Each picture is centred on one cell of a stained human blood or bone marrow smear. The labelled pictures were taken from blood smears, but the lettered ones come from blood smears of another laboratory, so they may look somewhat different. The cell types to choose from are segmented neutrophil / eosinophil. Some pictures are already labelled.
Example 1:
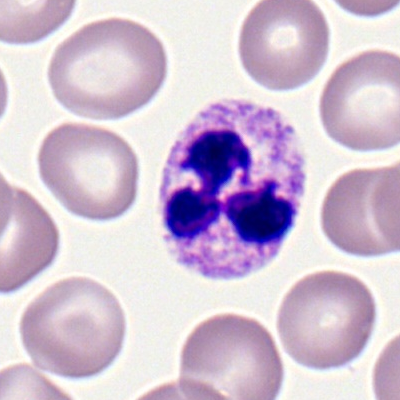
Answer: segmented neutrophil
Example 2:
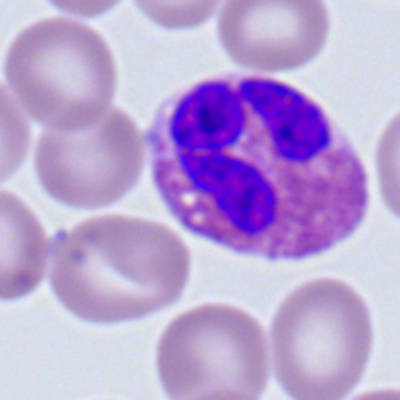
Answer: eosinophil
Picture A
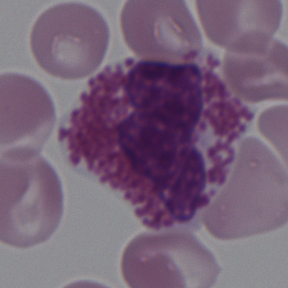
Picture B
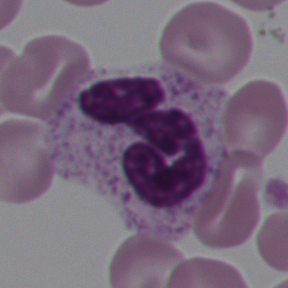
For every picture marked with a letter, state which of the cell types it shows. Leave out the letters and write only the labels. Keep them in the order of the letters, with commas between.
eosinophil, segmented neutrophil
